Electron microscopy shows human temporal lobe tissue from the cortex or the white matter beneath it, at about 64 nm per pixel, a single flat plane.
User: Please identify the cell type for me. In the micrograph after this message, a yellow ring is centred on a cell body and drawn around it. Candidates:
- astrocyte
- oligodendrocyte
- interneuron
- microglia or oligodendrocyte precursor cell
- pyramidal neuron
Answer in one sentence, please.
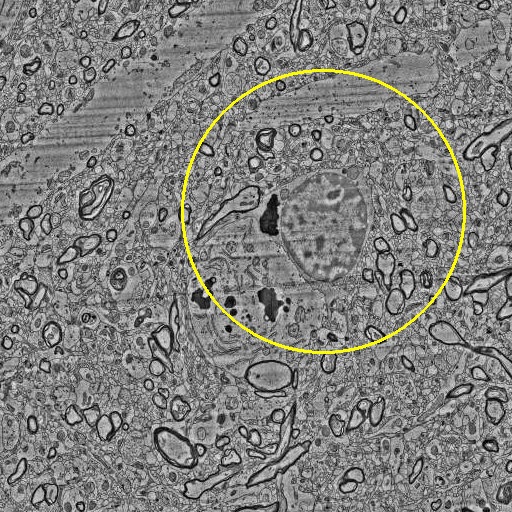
The ring is drawn around the cell body of an oligodendrocyte.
